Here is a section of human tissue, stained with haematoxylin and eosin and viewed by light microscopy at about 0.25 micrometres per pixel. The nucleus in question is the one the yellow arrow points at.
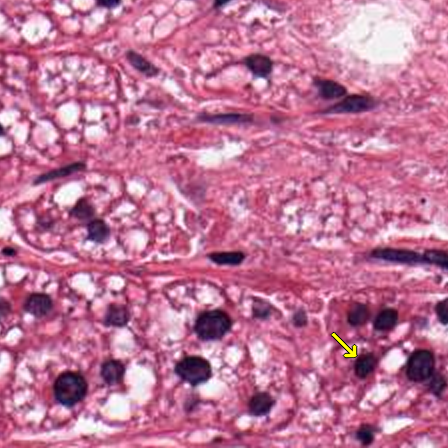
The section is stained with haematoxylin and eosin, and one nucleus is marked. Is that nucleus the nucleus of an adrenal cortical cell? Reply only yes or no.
yes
